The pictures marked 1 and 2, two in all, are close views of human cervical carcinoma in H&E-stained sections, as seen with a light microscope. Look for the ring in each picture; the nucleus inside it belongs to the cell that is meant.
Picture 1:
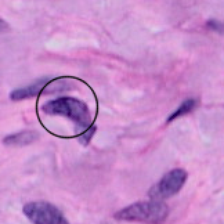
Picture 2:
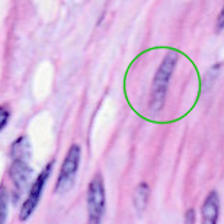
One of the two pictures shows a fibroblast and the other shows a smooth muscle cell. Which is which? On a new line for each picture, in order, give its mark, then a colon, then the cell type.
1: fibroblast
2: smooth muscle cell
